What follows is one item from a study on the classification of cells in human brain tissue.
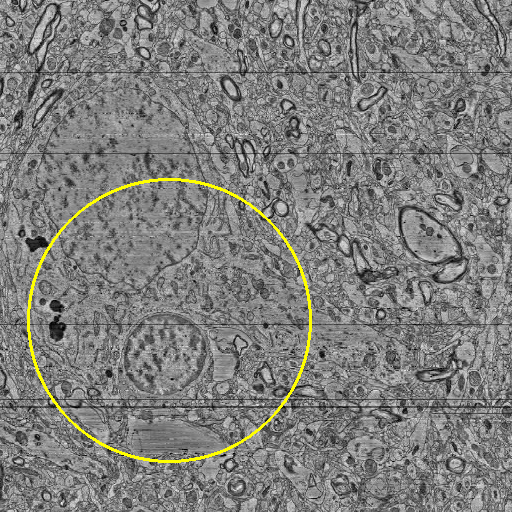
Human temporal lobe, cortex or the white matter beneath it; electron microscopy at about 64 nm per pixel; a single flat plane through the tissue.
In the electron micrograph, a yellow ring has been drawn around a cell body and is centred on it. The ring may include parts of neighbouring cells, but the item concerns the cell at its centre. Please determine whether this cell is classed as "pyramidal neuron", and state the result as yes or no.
no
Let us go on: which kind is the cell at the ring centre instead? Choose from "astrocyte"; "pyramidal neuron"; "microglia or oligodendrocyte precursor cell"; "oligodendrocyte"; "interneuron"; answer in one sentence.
The ringed cell in this picture is, instead, an oligodendrocyte.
